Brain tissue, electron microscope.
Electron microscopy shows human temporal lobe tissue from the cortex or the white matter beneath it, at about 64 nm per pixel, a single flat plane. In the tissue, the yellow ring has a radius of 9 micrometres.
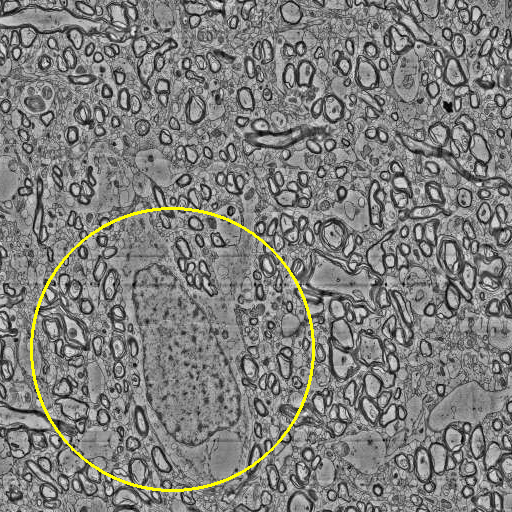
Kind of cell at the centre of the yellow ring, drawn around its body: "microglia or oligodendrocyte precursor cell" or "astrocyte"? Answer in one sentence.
The ring's centre falls on an astrocyte.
